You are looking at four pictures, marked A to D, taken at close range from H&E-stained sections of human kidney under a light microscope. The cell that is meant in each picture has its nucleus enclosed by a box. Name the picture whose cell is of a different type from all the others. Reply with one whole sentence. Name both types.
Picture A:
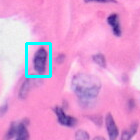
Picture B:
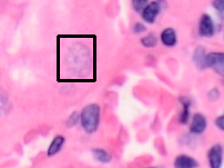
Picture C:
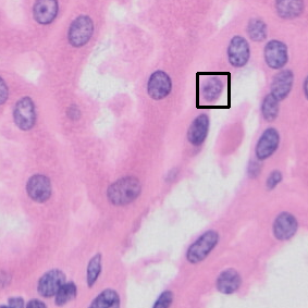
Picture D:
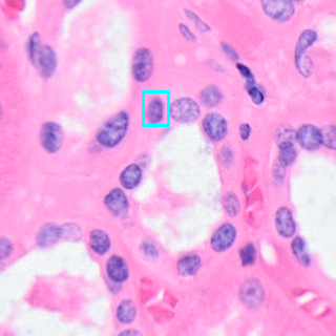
Unlike the rest, which show collecting duct cells, picture B shows a proximal tubule cell.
